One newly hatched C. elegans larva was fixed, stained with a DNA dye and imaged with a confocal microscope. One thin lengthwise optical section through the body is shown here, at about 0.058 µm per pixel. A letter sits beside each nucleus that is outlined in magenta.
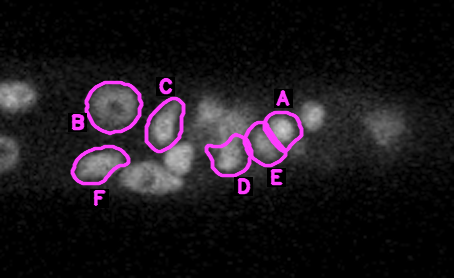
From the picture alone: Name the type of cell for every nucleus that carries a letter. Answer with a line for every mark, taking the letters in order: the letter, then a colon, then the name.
A: neuron
B: intestinal cell
C: valve cell of the gut
D: neuron
E: neuron
F: enteric muscle cell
